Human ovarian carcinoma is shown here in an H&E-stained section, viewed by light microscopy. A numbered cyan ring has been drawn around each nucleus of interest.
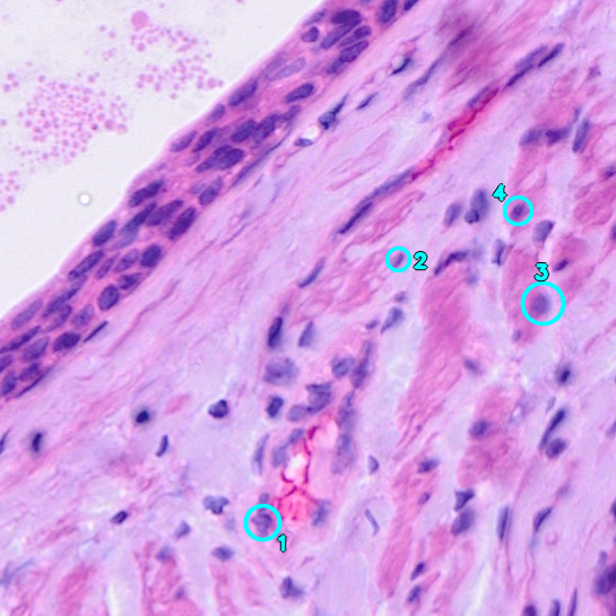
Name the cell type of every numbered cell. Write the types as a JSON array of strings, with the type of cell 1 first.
["endothelial cell", "smooth muscle cell", "smooth muscle cell", "smooth muscle cell"]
